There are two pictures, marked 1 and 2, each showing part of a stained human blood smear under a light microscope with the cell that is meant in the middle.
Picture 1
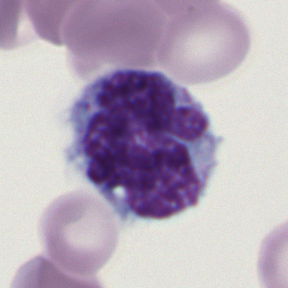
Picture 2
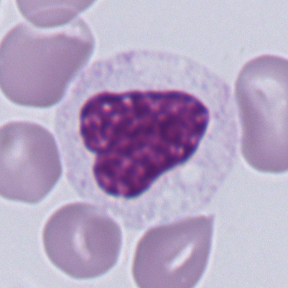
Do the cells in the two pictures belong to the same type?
no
